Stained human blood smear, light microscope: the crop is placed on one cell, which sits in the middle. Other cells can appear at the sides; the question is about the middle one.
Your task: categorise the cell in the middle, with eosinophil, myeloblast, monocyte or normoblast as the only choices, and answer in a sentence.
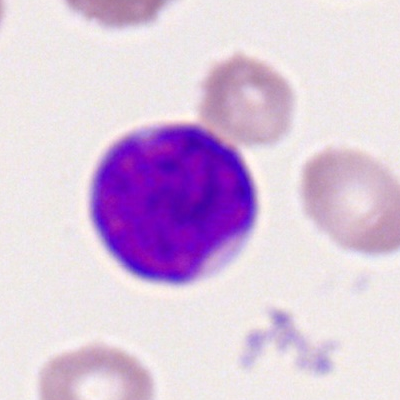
The identification for the central cell is a myeloblast.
